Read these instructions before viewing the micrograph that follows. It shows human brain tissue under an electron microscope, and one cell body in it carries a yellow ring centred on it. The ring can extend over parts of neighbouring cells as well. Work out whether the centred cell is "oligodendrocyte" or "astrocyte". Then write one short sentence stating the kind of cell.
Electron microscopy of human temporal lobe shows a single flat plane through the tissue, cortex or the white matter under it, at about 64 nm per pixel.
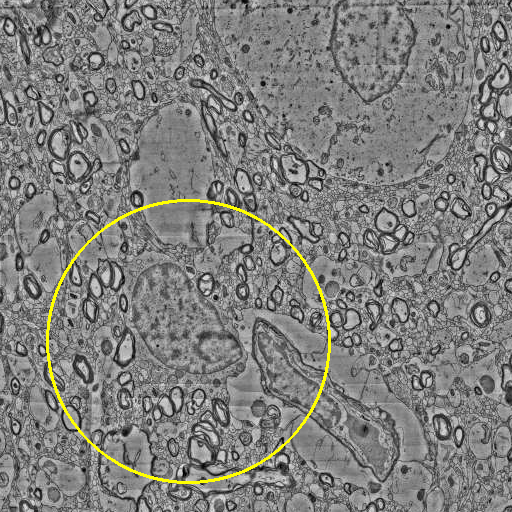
The ringed cell is an oligodendrocyte.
